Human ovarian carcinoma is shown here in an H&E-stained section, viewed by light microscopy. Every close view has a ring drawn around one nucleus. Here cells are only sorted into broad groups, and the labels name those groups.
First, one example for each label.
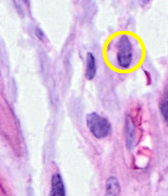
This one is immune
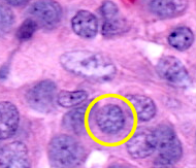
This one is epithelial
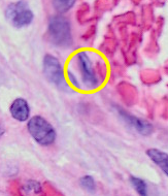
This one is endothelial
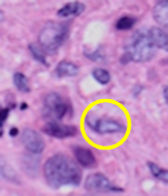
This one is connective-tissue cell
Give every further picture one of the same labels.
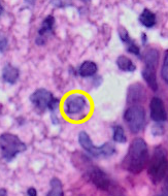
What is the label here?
immune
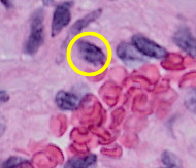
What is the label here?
endothelial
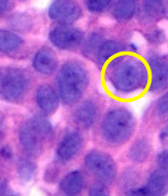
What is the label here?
epithelial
